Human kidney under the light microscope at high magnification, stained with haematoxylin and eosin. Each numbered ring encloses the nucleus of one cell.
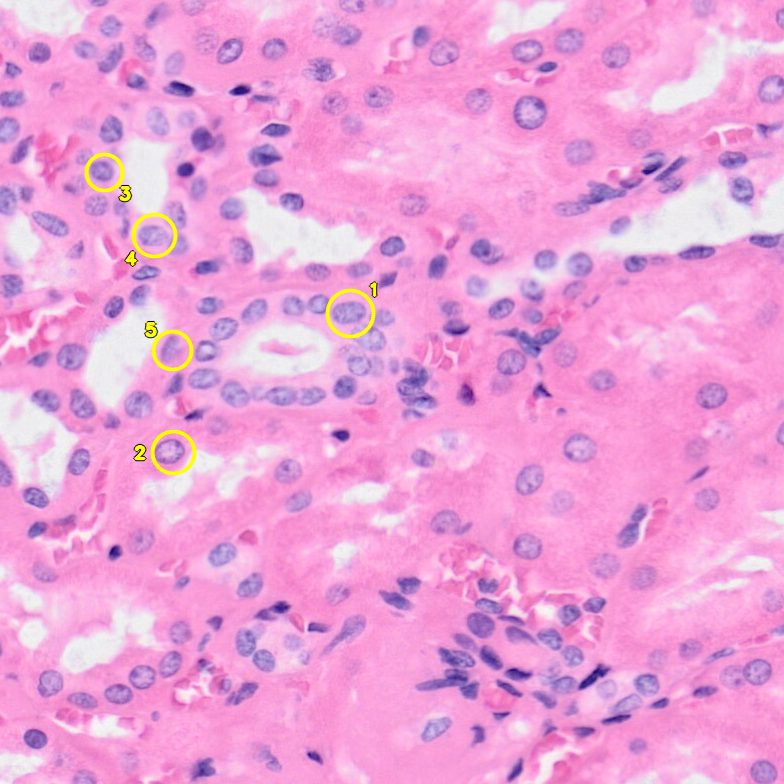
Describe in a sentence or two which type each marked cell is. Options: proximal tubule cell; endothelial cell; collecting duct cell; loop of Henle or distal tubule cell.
Cells 1, 3 and 4 are collecting duct cells. Cell 2 is a proximal tubule cell. Cell 5 is a loop of Henle or distal tubule cell.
